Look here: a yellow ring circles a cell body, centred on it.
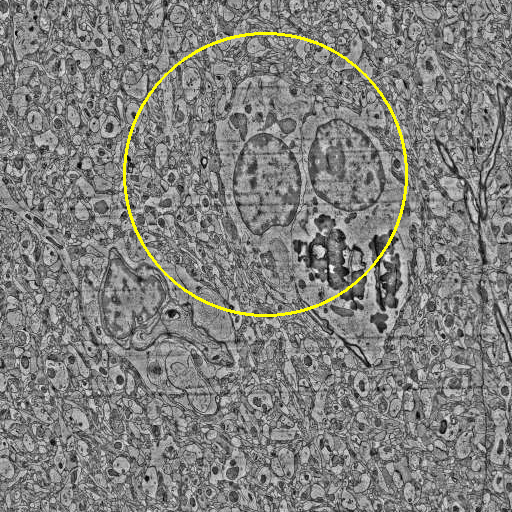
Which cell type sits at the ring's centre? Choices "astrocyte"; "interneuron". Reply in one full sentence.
The cell at the centre of the yellow ring in the picture is an astrocyte.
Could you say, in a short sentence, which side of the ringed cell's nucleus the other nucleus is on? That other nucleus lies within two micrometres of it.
The other nucleus is located to the right of it.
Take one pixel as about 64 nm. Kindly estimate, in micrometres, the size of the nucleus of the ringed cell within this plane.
The nucleus works out at approximately 6 by 4 micrometres in this plane.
